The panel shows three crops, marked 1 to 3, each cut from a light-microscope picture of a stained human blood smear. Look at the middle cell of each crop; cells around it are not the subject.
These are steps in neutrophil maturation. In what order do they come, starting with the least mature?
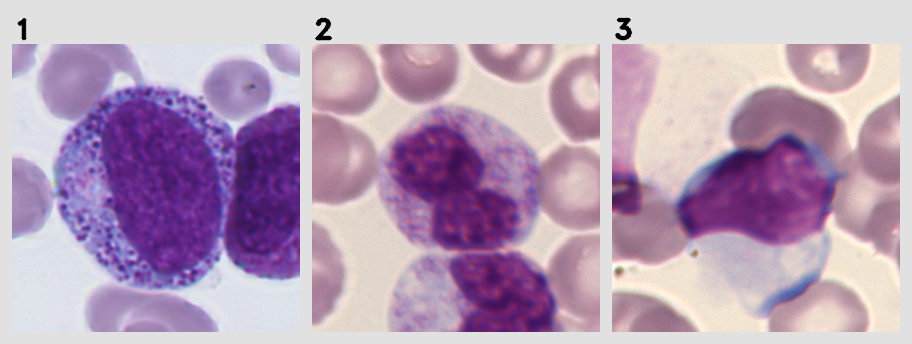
3, 1, 2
